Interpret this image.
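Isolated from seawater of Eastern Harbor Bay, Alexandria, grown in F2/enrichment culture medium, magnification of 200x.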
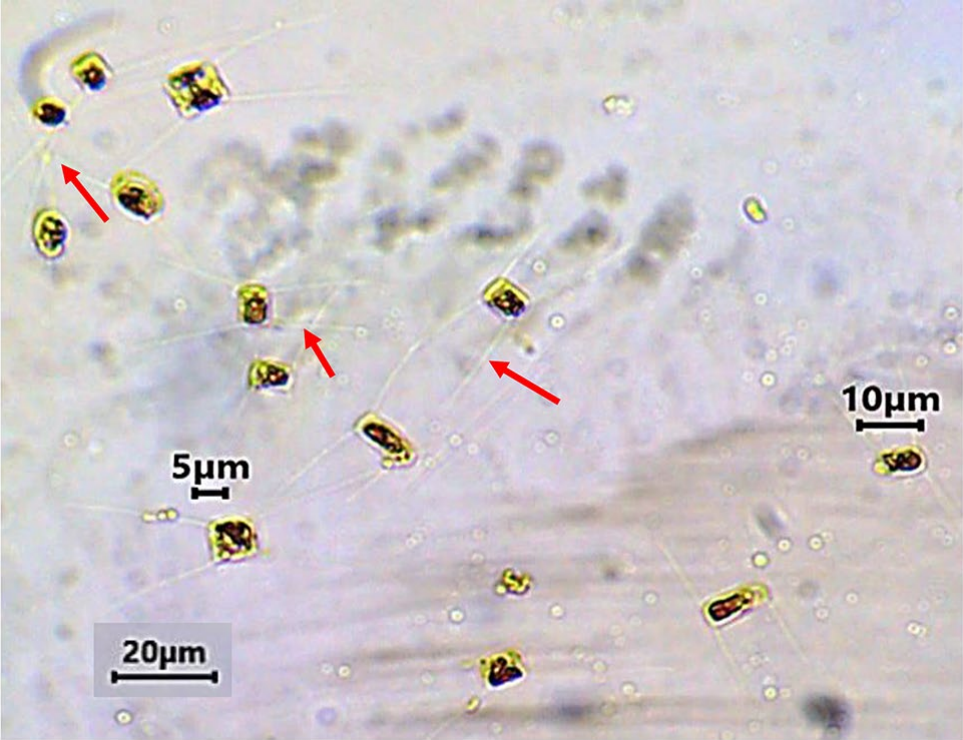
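Scattered across a pale background are small single cells, each with a box-like, rectangular to oval outline and golden-brown contents clumped in the middle. Very long, thin, straight hair-like spines run out from the corners of many of the cells, reaching far beyond the cell bodies and crossing the spaces between neighbouring cells. The sharp, rigid outlines and the corner spines fit marine planktonic diatoms, whose spines, called setae, can link the cells together into colonies.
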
